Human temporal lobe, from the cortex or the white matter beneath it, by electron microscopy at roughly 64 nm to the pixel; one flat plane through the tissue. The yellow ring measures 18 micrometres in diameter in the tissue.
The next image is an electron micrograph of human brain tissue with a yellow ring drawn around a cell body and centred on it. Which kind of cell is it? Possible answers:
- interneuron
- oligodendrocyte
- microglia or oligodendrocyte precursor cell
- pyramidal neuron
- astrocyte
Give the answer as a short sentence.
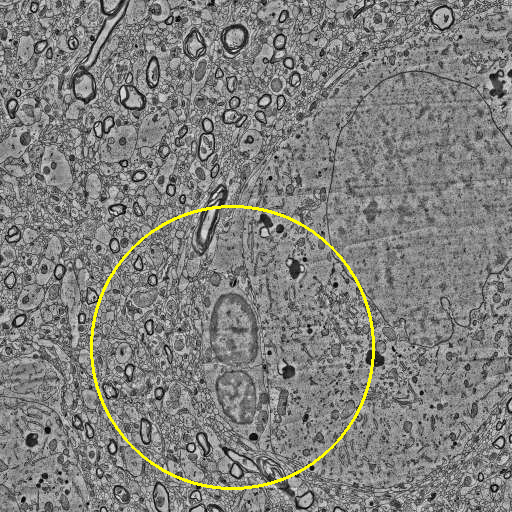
In the ring's centre is an oligodendrocyte.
